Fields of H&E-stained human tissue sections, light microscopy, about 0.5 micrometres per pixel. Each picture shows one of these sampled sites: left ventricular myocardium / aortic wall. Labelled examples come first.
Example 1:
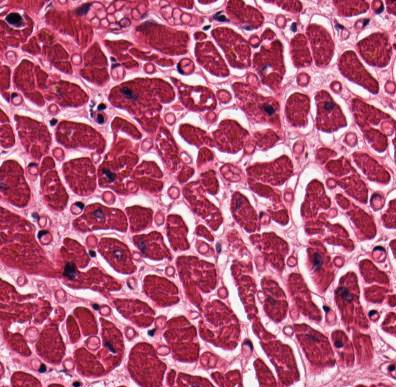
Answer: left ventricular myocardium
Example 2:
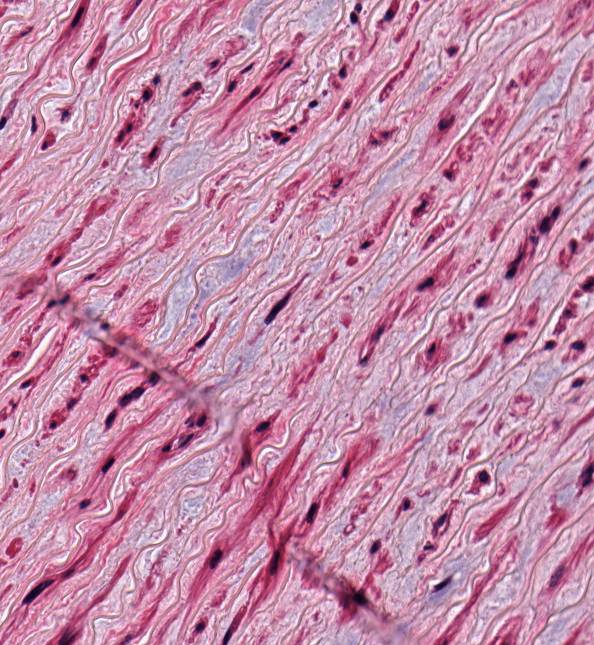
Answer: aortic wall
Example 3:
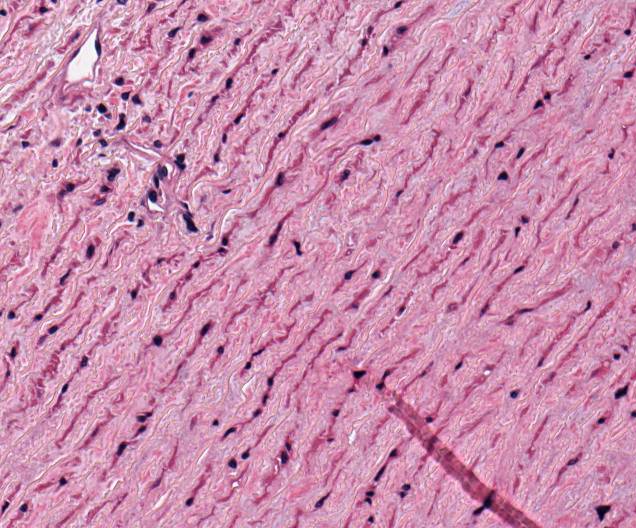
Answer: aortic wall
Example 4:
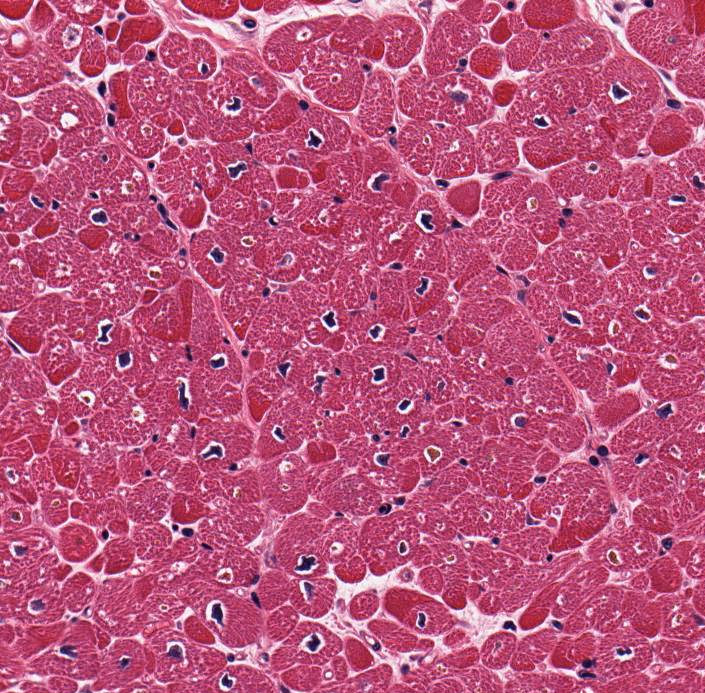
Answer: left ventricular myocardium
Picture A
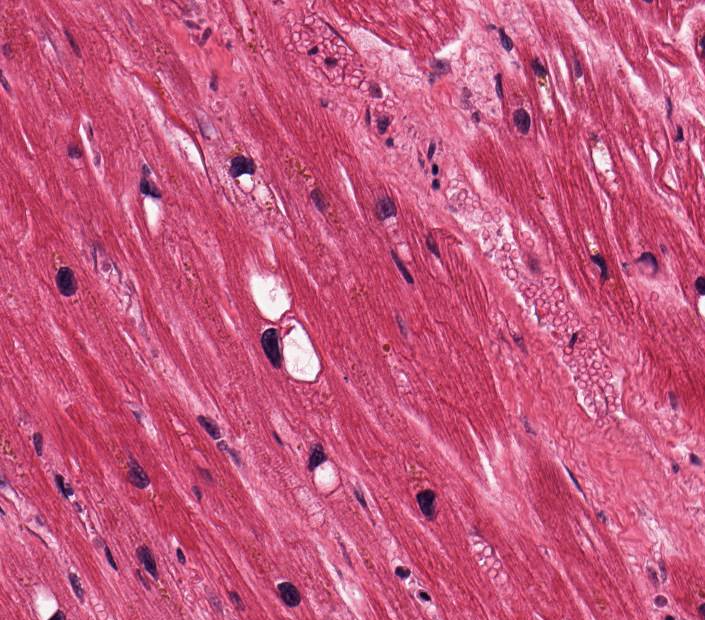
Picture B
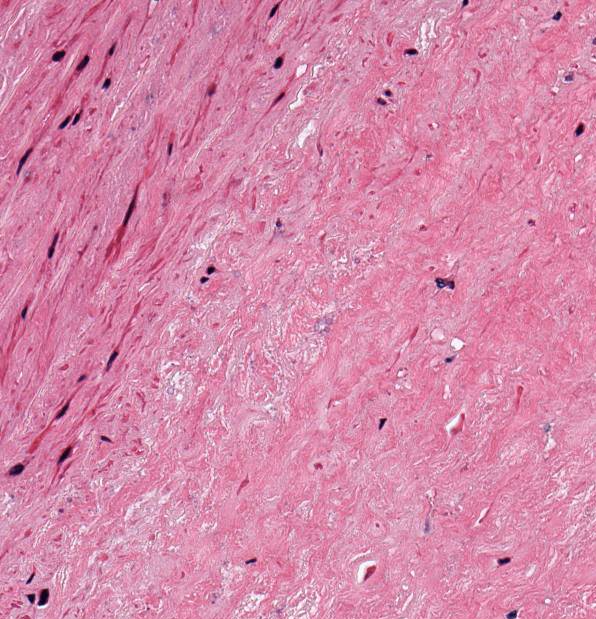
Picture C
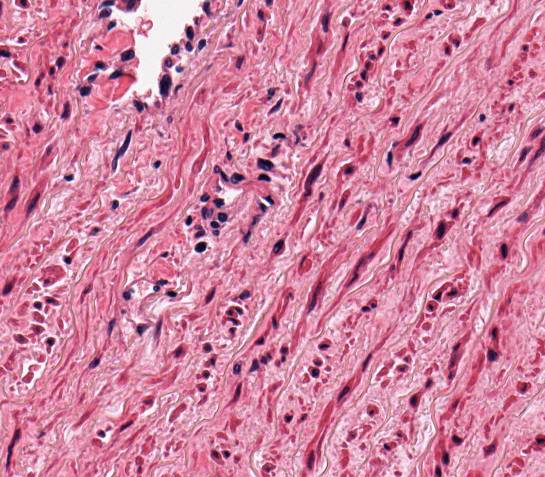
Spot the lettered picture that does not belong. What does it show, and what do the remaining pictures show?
Odd one out: A (left ventricular myocardium). The rest: aortic wall.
